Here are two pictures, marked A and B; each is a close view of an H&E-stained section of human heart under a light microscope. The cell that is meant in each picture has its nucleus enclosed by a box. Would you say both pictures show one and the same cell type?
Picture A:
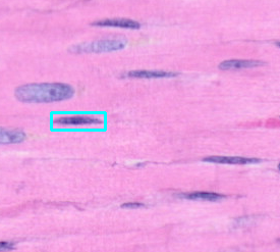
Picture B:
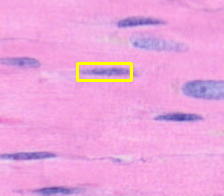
no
